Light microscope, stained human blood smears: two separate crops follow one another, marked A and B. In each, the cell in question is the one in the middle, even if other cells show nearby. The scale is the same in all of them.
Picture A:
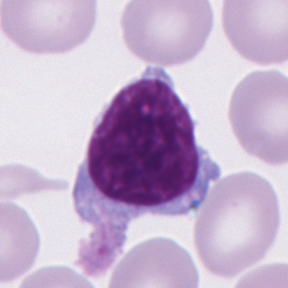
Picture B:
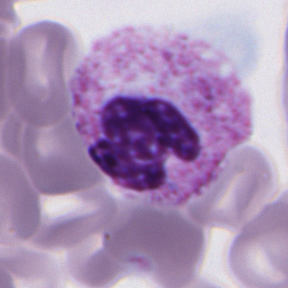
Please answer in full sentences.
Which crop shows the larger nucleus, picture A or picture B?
The nucleus in picture A is larger, with about 1.5 times the area of the one in picture B.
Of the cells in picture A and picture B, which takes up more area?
The cell in picture B is larger, with about 1.5 times the area of the one in picture A.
